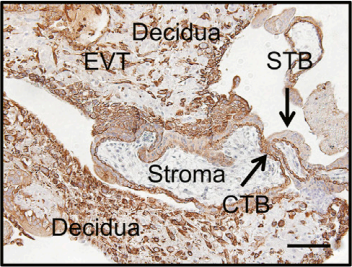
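Around the villus, the adjacent tissue holds many brown-stained cells, packed densely in the lower band and scattered singly or in small groups among larger, weakly stained cells in the upper tissue. Stained cells show brown cytoplasm around blue nuclei. The villous core itself is largely unstained. Black arrows point to the thin outer covering of the villus.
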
